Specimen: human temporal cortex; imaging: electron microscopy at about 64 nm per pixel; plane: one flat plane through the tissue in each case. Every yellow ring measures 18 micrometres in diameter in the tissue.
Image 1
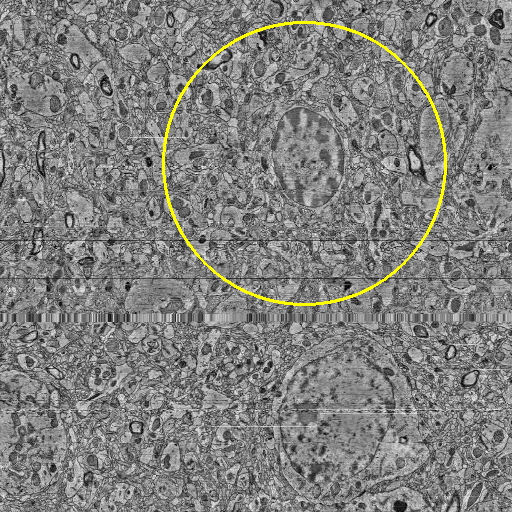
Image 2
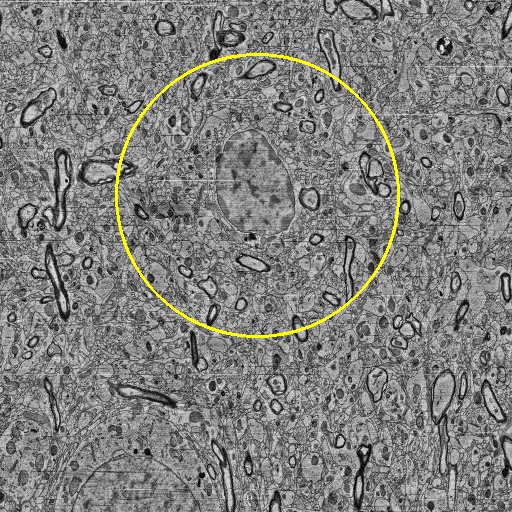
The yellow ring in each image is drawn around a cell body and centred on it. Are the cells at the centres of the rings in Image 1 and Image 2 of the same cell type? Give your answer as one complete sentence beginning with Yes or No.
Yes, both cells are of the same type.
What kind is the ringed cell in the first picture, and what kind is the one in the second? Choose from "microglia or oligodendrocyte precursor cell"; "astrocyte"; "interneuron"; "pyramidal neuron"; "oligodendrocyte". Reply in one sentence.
Both rings mark a microglial cell or oligodendrocyte precursor cell, one in each picture.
